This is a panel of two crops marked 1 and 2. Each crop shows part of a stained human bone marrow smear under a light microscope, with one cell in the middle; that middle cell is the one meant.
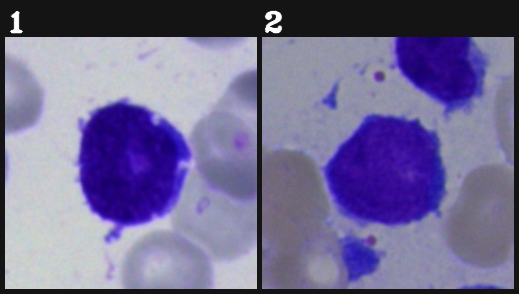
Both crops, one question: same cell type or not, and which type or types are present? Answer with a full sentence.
Yes, in the middle of both crops, blasts are shown.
